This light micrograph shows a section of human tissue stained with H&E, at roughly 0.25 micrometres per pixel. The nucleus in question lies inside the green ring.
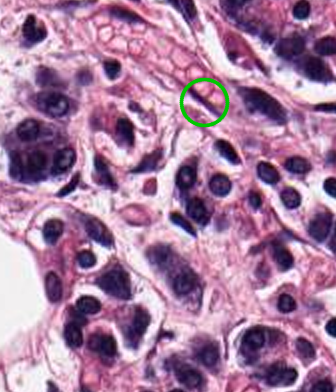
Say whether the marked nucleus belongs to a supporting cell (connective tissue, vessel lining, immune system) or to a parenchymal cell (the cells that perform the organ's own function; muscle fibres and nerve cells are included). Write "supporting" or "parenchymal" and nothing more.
supporting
